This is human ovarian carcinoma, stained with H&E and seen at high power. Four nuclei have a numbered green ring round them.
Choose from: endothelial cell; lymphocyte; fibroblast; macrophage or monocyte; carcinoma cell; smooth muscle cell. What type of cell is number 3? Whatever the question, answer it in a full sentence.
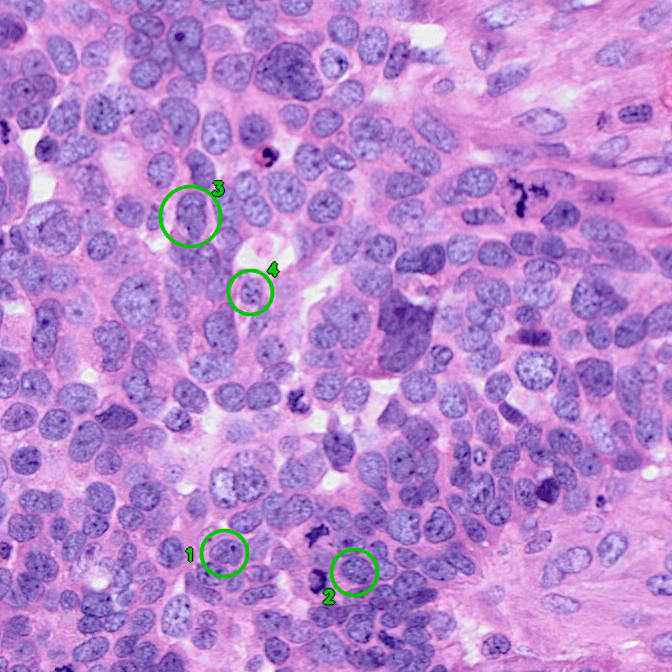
Cell 3, among those numbered, is a carcinoma cell.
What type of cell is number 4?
Classified as a macrophage or monocyte is the cell with the number 4.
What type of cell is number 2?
The cell bearing label 2 corresponds to a carcinoma cell.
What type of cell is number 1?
Number 1 among the marked cells is a carcinoma cell.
